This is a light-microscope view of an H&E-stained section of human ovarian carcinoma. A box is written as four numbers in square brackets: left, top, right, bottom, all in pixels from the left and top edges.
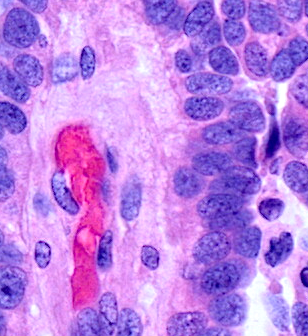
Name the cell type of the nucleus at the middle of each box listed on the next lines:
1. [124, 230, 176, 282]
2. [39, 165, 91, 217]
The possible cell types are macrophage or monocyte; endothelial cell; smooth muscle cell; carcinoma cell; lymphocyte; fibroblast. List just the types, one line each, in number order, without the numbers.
macrophage or monocyte
endothelial cell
